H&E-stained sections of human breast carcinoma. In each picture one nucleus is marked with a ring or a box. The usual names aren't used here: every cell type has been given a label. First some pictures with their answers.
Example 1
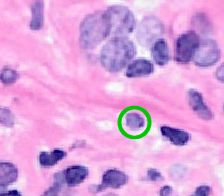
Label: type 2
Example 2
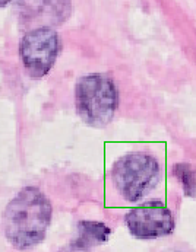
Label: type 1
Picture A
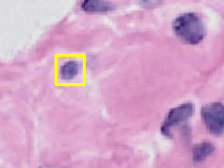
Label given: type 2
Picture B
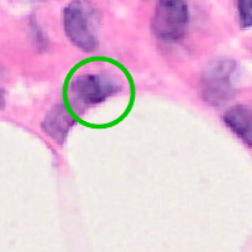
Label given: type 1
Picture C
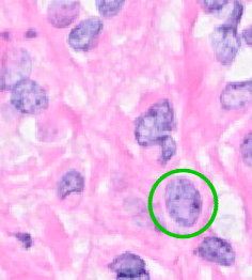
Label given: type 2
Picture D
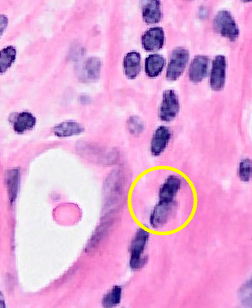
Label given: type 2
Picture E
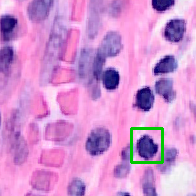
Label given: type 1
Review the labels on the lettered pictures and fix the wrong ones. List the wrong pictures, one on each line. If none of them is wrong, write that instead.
C: type 1, not type 2
E: type 2, not type 1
